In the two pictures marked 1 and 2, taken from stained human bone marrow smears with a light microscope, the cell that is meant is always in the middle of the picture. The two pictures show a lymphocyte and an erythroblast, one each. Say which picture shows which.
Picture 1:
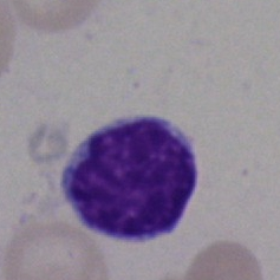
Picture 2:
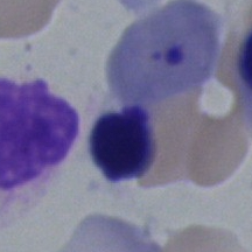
1: lymphocyte
2: erythroblast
